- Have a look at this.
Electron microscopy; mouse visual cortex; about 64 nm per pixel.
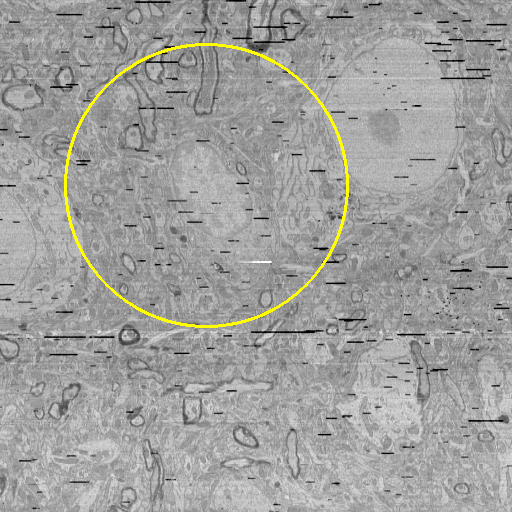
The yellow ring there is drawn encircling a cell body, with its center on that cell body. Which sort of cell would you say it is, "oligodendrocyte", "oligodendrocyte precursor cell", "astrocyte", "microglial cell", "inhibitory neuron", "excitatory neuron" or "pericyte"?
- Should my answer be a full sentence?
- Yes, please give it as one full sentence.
For this picture, an oligodendrocyte is the cell where the yellow ring has its center.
